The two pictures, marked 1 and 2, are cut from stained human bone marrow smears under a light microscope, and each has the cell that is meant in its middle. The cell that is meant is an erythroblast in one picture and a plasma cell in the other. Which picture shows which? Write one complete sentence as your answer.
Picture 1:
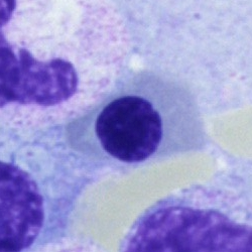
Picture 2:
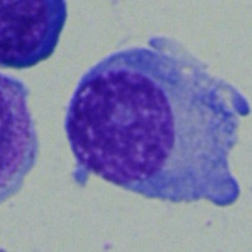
The cell in picture 1 is an erythroblast, and the one in picture 2 is a plasma cell.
